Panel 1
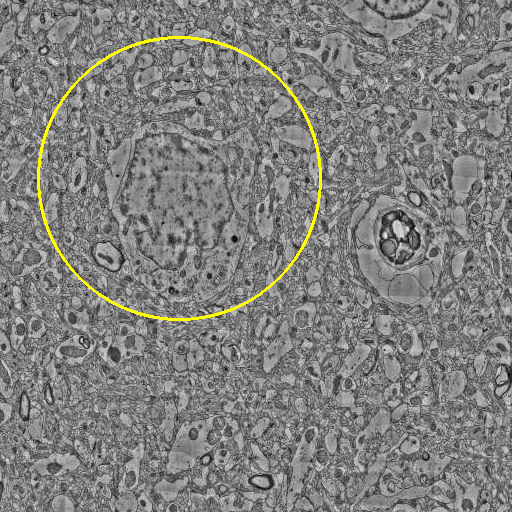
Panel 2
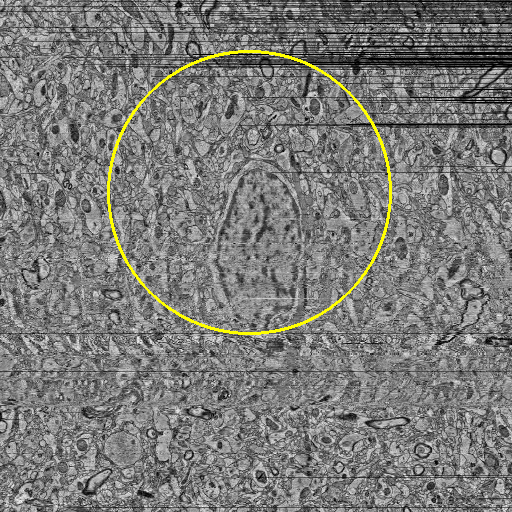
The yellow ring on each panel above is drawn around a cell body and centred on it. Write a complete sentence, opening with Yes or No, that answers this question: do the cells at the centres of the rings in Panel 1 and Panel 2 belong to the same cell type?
No, the two cells belong to two cell types.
